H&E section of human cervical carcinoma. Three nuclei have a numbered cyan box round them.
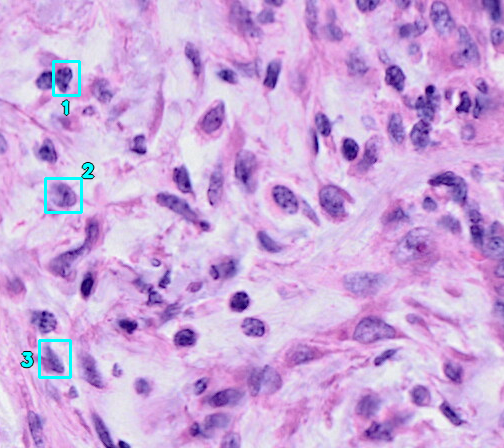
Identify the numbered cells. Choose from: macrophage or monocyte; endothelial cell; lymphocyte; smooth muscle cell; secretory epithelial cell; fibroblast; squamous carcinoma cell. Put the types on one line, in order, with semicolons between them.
lymphocyte; fibroblast; fibroblast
